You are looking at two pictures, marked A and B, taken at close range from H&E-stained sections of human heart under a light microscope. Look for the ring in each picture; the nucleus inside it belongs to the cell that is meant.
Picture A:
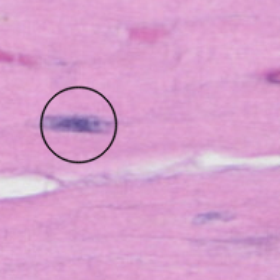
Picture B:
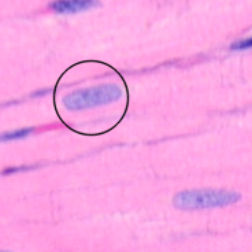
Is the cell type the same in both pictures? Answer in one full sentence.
No, picture A shows an endothelial cell and picture B shows a cardiomyocyte.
